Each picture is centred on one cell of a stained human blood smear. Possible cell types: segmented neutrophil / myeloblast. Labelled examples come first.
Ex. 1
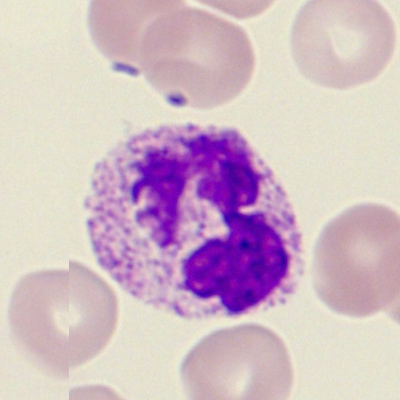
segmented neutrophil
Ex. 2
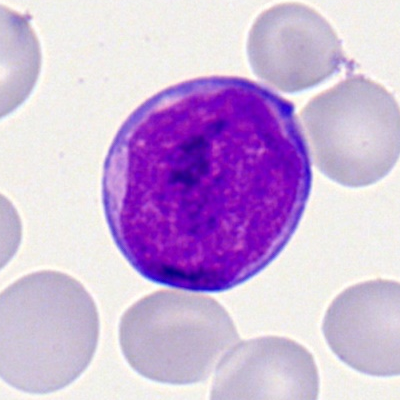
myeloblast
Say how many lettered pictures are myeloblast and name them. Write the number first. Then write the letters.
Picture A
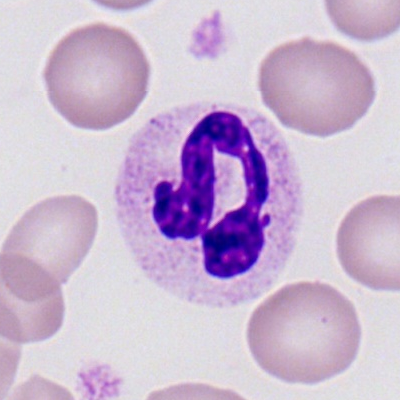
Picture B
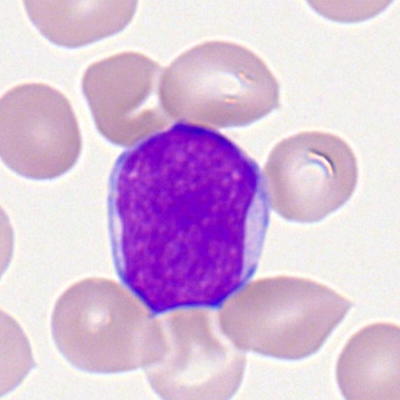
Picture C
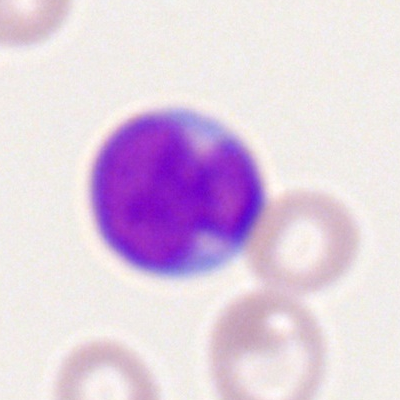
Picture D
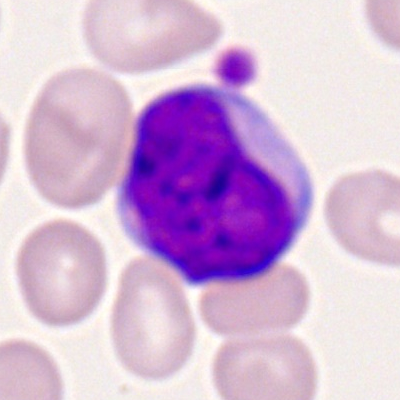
3: B, C, D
